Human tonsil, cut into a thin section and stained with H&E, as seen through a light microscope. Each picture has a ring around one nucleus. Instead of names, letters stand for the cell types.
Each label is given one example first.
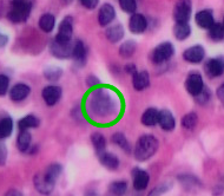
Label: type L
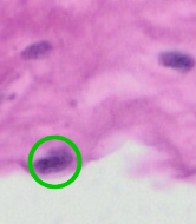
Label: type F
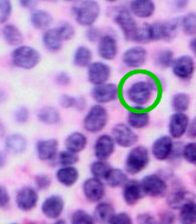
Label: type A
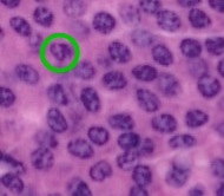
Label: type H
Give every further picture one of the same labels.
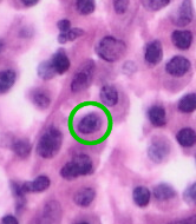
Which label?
type H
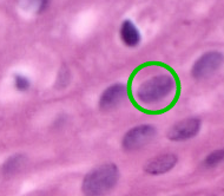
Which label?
type F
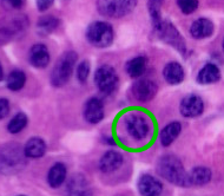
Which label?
type H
